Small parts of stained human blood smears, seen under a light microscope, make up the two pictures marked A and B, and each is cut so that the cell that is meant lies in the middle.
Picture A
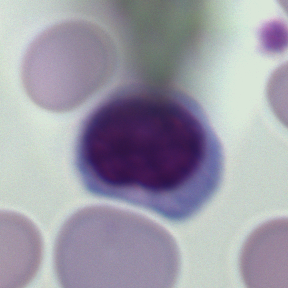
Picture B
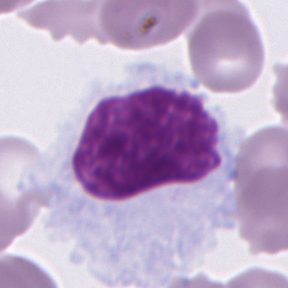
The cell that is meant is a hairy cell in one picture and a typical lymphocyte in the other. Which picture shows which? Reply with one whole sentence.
Picture A is of a typical lymphocyte, and picture B is of a hairy cell.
